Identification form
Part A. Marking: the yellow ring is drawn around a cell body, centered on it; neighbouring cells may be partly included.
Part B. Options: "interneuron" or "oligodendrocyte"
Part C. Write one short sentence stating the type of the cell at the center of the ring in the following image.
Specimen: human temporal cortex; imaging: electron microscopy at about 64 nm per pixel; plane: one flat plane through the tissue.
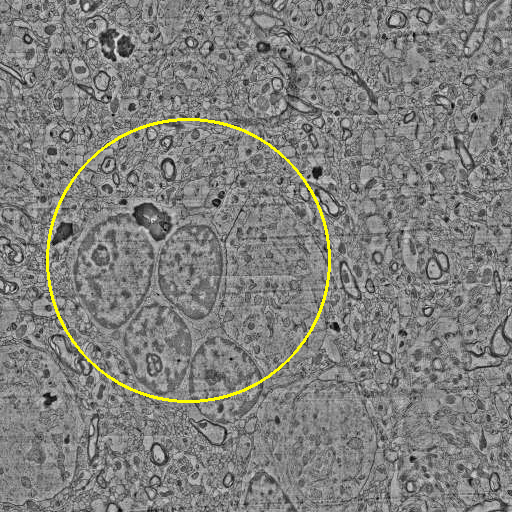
The center of the ring holds an oligodendrocyte.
